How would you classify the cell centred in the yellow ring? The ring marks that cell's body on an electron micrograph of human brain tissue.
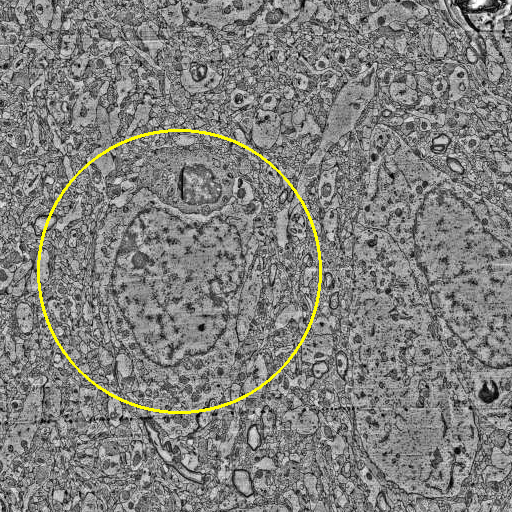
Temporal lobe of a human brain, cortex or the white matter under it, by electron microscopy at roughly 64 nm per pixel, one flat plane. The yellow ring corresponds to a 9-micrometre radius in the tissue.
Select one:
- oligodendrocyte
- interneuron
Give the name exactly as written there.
interneuron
